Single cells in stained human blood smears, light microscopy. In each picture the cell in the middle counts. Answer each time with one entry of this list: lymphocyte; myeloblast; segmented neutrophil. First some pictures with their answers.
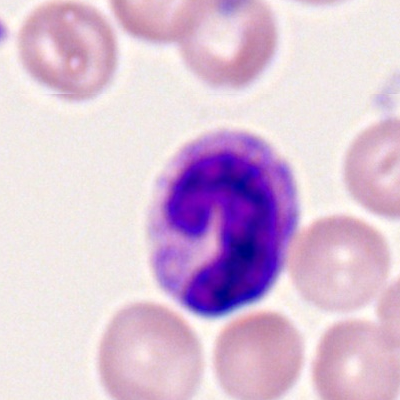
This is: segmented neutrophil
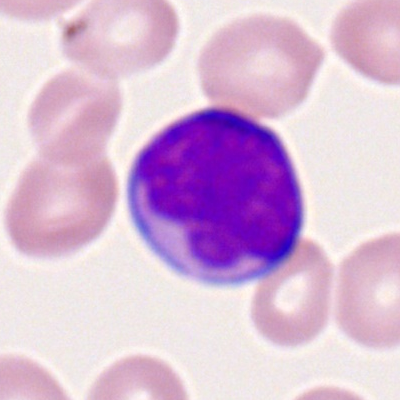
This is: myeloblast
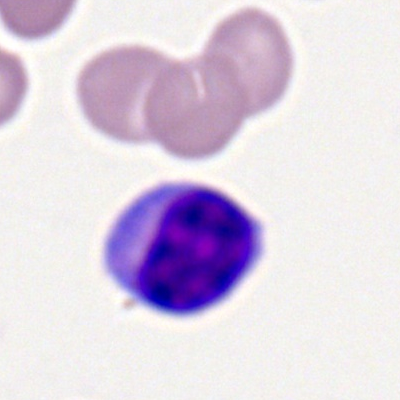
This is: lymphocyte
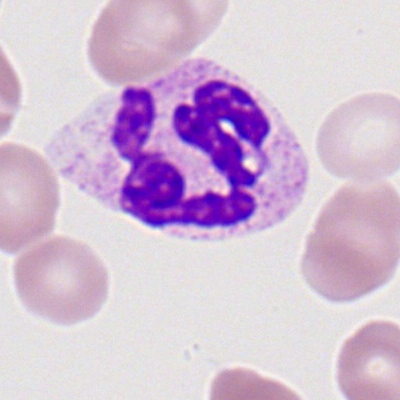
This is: segmented neutrophil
